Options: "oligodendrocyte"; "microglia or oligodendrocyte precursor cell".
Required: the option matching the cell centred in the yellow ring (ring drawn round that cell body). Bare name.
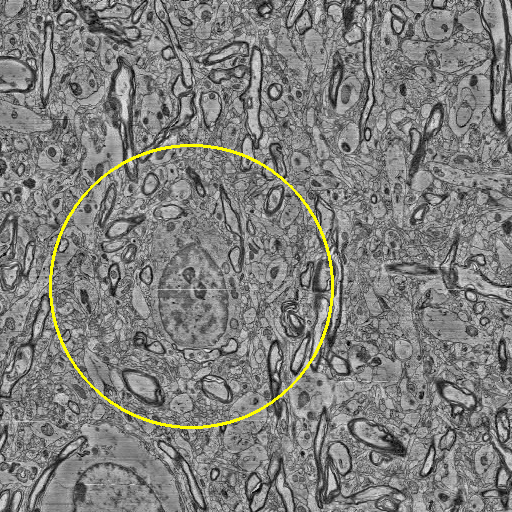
oligodendrocyte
